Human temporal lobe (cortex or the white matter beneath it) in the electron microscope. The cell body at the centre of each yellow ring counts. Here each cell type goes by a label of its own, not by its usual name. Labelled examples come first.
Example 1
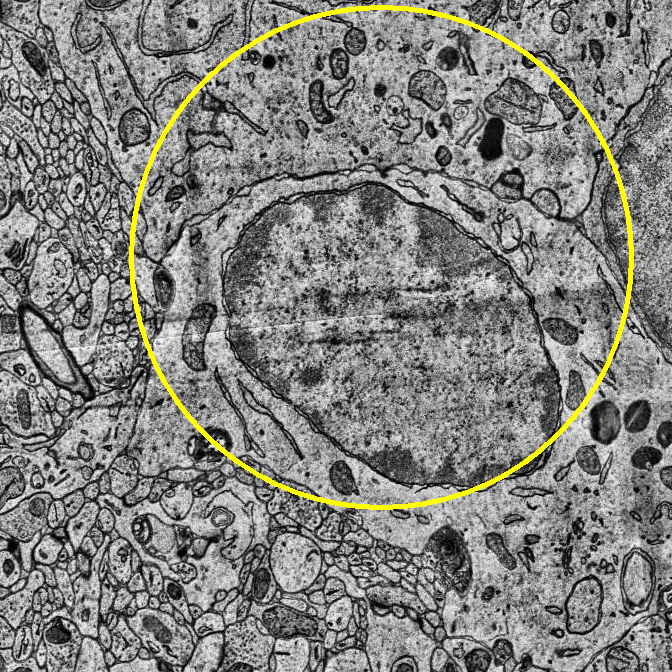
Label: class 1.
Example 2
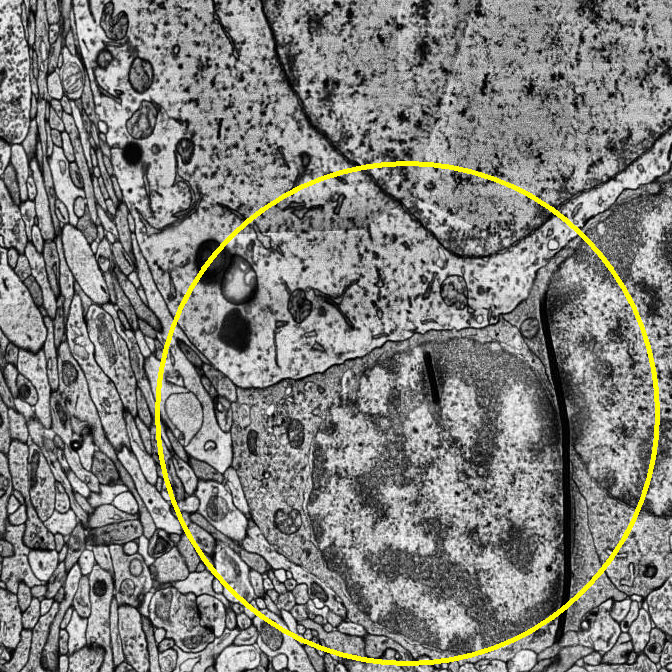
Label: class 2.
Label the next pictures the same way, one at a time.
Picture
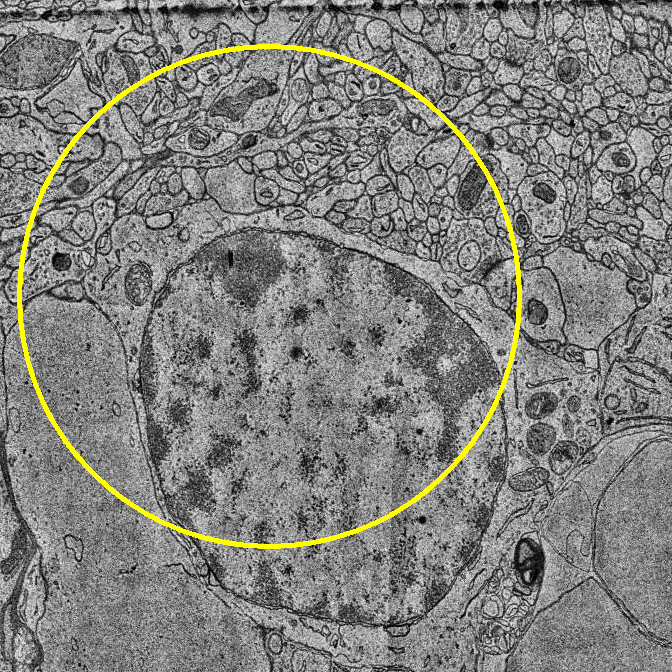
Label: class 1.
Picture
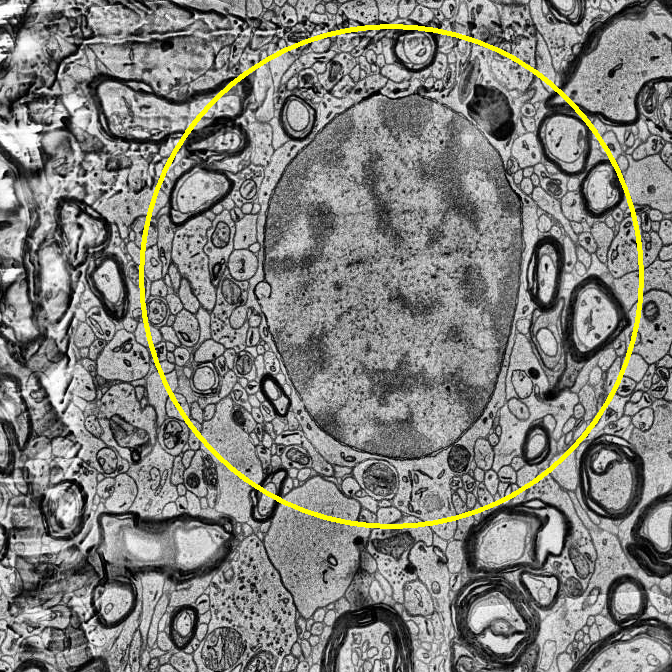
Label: class 1.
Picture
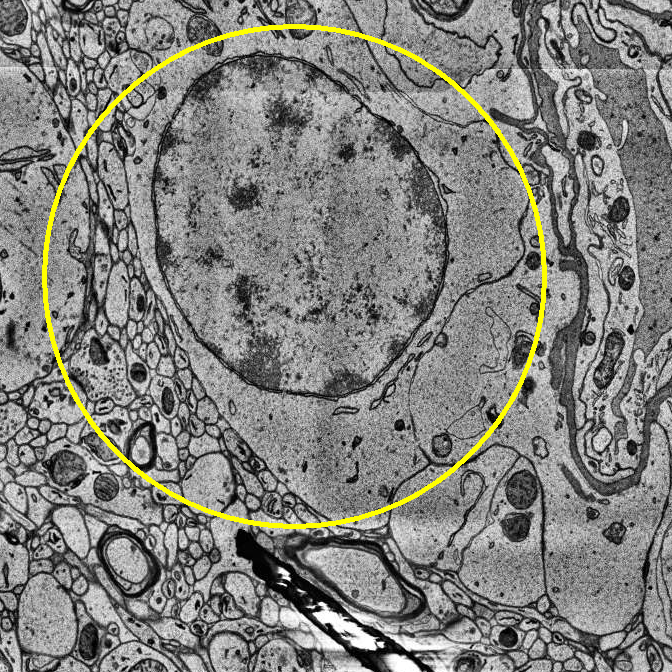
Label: class 1.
